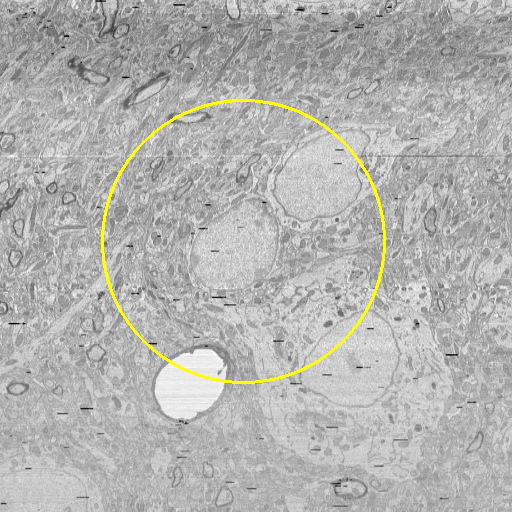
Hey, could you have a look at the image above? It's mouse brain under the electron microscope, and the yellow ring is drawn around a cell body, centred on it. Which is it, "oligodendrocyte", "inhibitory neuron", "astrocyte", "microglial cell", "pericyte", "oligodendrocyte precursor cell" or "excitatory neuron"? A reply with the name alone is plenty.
astrocyte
